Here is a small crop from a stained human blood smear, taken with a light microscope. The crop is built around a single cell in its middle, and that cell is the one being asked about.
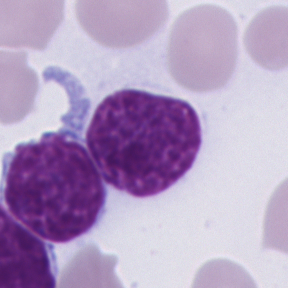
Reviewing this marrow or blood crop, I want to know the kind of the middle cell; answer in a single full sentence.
What the crop centres on is a blast.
